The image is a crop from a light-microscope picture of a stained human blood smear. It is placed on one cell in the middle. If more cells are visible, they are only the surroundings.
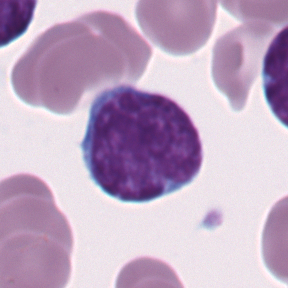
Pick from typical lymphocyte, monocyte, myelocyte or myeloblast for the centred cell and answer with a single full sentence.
By type, the central cell of the crop is a typical lymphocyte.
